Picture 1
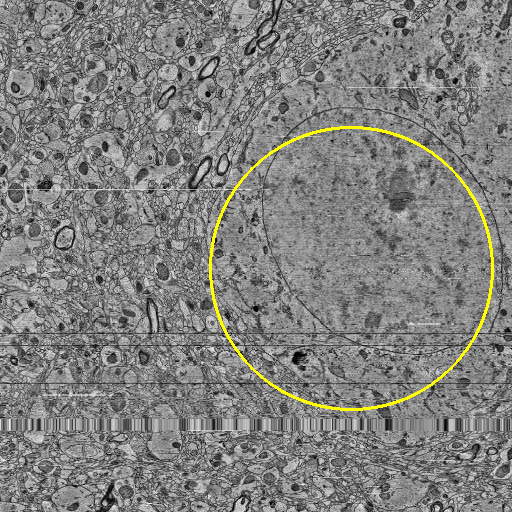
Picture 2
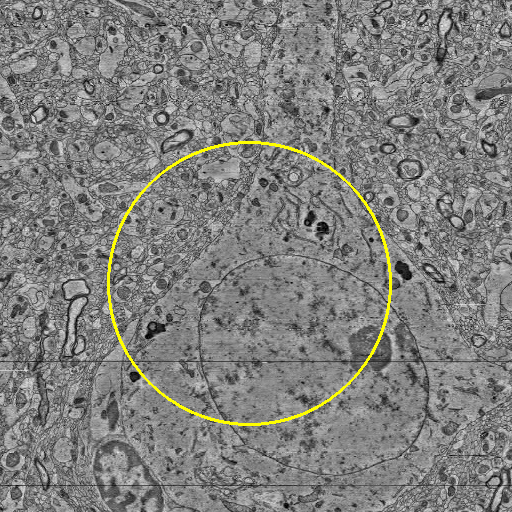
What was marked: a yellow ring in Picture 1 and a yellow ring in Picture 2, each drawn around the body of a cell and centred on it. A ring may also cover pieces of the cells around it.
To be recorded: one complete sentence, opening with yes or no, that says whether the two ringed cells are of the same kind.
Yes, the two ringed cells are of the same kind.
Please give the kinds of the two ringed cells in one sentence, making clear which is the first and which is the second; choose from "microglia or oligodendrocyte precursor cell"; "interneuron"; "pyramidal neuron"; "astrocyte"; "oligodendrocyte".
Both cells are the same kind, each one being a pyramidal neuron.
